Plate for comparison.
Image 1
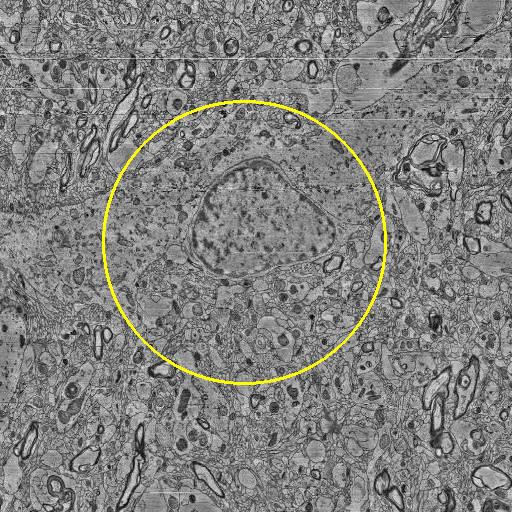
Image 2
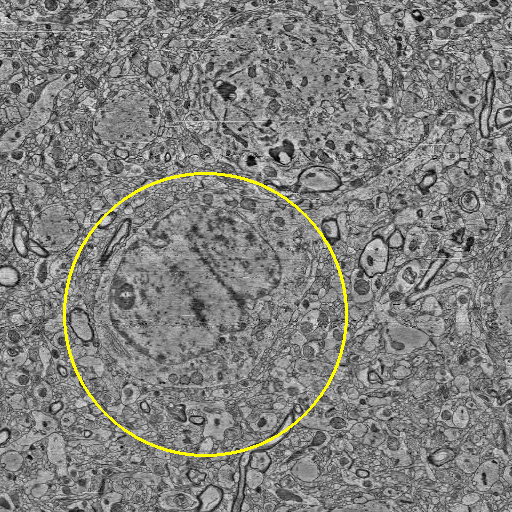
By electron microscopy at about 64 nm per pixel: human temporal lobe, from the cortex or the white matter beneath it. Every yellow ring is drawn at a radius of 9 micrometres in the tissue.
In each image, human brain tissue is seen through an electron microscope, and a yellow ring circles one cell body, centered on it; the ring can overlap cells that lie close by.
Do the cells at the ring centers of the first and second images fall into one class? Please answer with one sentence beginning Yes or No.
No, the first and second images show two classes of cell at the ring centers.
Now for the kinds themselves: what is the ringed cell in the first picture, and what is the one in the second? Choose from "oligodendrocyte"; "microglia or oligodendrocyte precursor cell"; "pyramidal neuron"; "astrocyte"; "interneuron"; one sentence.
Here the first cell is a microglial cell or oligodendrocyte precursor cell and the second cell is an interneuron.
